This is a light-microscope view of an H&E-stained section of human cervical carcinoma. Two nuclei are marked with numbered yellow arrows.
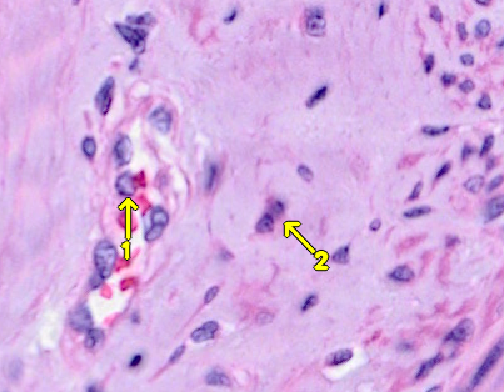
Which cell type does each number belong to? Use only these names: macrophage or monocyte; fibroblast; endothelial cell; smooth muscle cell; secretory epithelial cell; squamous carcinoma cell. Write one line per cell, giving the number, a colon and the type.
1: endothelial cell
2: smooth muscle cell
